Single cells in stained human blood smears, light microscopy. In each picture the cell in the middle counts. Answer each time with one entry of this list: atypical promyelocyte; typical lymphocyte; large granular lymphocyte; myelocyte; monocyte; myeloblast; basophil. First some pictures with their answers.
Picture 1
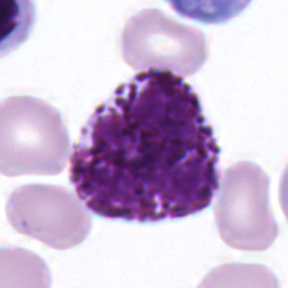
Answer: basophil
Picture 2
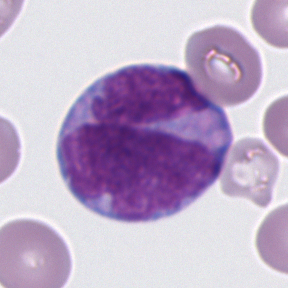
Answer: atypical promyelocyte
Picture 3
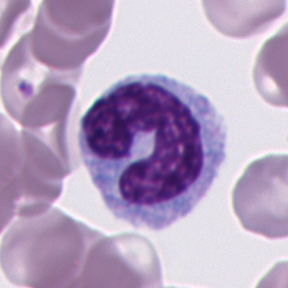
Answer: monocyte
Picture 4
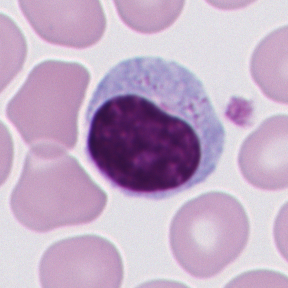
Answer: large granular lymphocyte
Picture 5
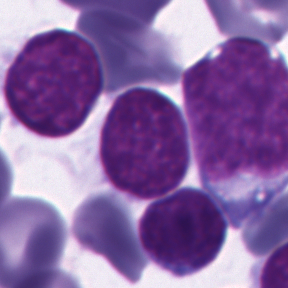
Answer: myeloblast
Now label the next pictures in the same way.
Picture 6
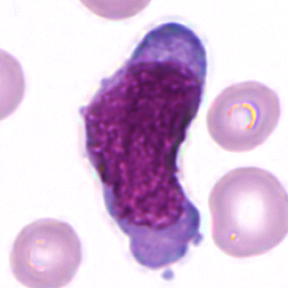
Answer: atypical promyelocyte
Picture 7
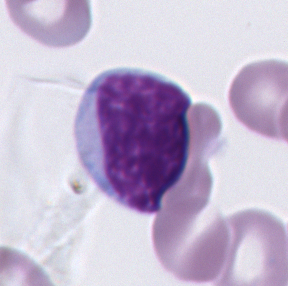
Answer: typical lymphocyte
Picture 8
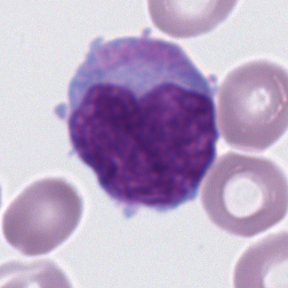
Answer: atypical promyelocyte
